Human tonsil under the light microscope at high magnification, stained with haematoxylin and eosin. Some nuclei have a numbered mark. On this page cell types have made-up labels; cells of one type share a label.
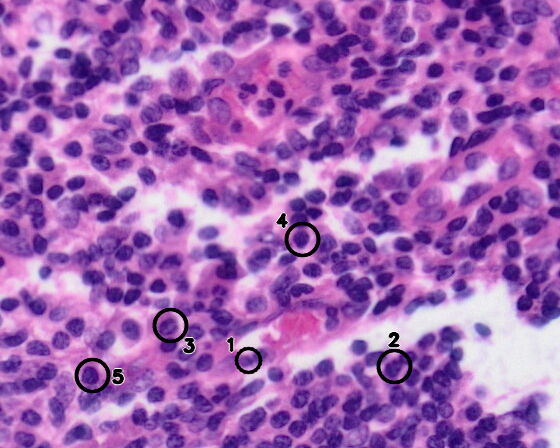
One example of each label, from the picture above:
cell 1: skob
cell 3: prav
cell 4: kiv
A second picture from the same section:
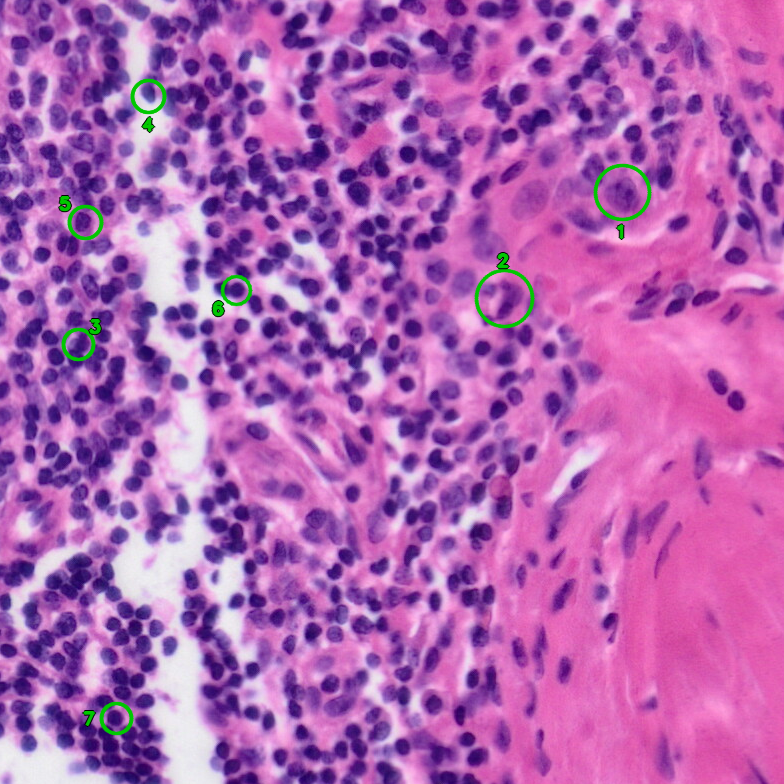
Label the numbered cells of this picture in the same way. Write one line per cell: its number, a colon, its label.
1: skob
2: skob
3: kiv
4: kiv
5: prav
6: kiv
7: kiv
